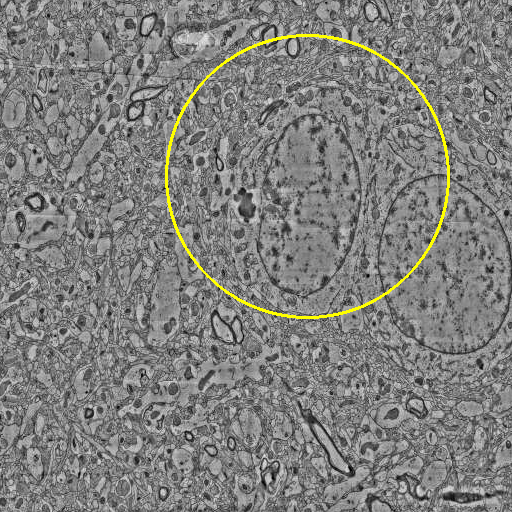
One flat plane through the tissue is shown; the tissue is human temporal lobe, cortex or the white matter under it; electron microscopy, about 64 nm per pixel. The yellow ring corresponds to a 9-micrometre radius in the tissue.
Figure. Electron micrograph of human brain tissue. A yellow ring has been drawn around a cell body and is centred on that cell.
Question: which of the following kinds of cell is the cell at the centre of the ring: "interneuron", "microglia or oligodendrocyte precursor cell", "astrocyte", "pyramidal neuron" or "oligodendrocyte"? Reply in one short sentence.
The cell at the centre of the ring is an interneuron.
